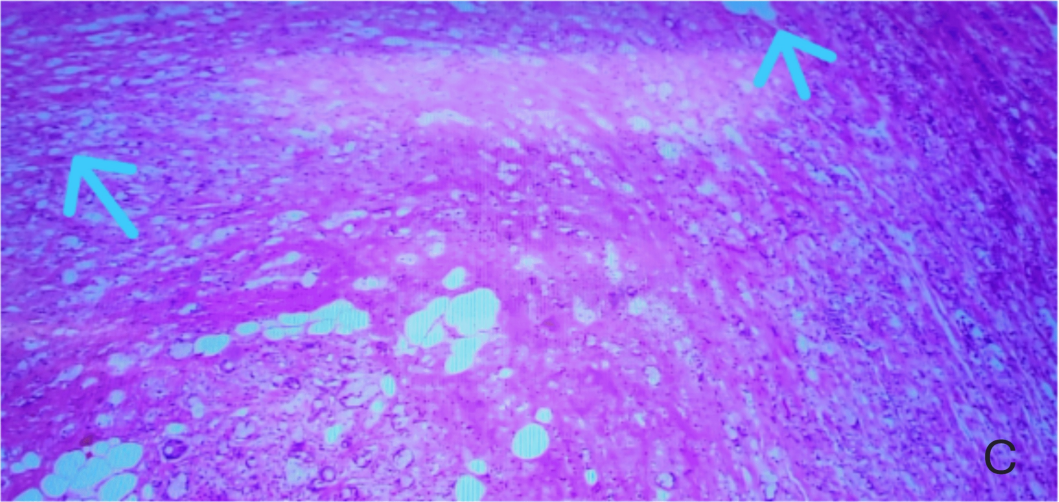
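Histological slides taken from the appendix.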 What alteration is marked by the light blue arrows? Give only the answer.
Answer: Infiltration extending into the serosa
